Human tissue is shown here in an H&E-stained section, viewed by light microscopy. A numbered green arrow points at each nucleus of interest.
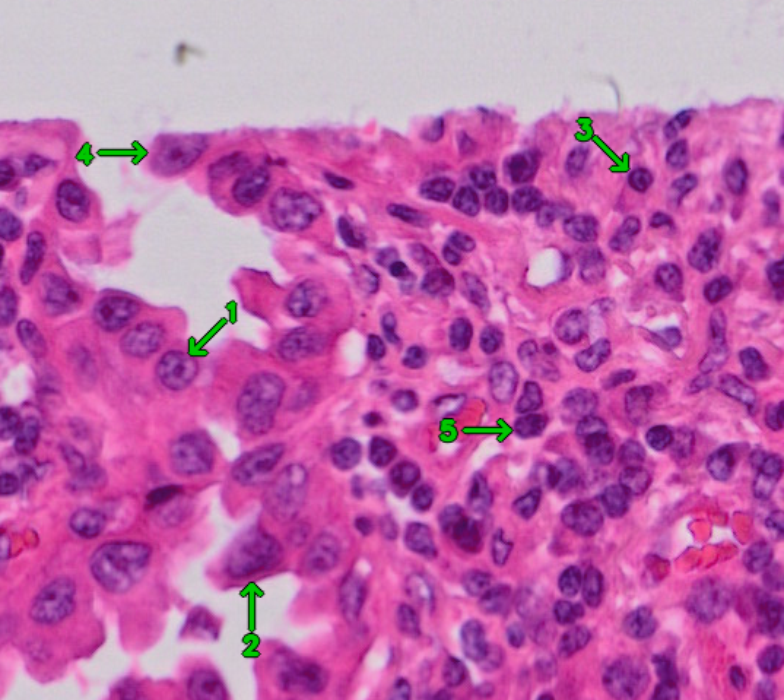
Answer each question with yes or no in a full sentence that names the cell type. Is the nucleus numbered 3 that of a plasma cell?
Yes, the cell at the mark numbered 3 is a plasma cell.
